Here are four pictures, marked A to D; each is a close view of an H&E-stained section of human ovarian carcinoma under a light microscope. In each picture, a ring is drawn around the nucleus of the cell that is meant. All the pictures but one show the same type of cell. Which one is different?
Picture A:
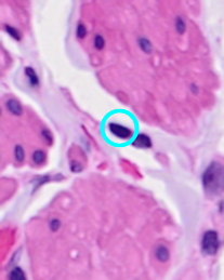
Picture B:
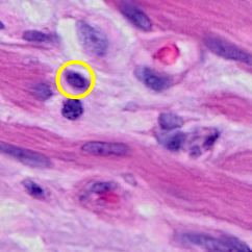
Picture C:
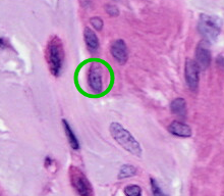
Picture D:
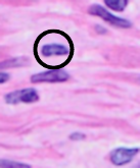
C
